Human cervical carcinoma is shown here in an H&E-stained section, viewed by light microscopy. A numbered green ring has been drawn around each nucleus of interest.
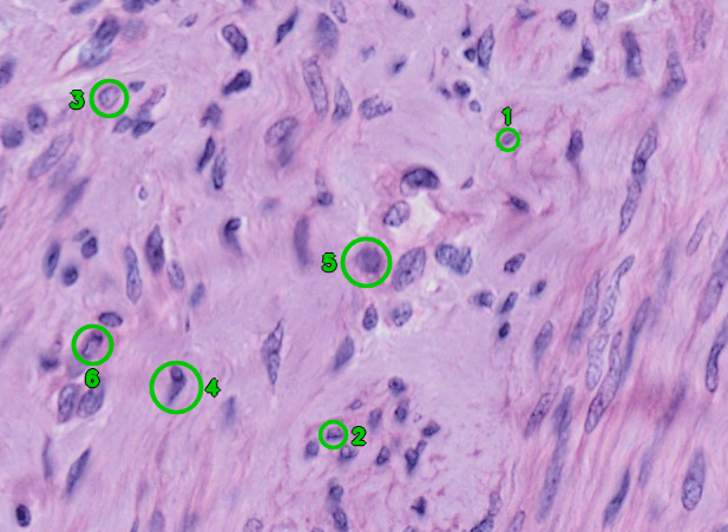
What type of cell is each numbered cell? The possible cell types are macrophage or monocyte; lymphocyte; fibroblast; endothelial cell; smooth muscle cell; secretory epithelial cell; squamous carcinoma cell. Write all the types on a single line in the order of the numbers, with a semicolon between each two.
smooth muscle cell; smooth muscle cell; smooth muscle cell; fibroblast; endothelial cell; endothelial cell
